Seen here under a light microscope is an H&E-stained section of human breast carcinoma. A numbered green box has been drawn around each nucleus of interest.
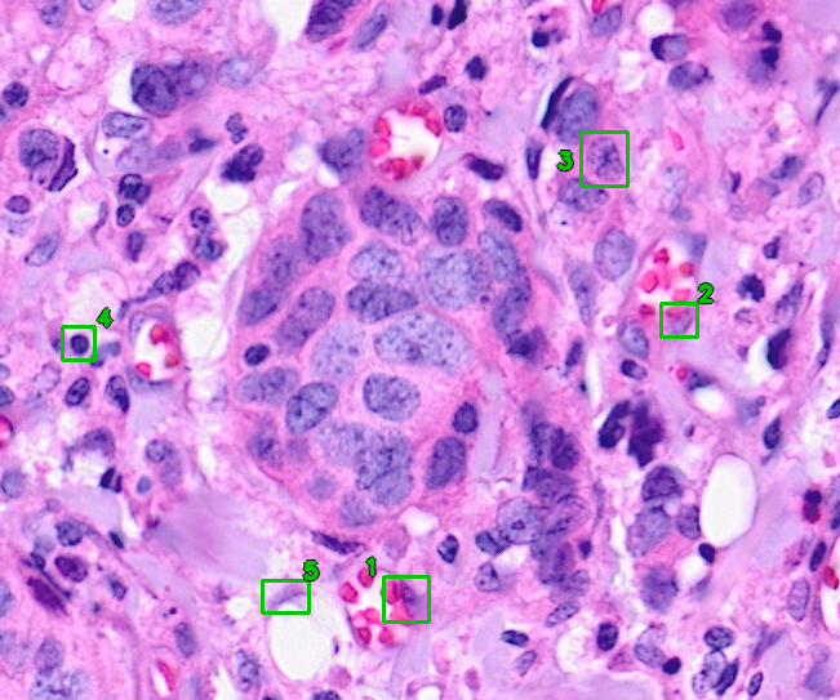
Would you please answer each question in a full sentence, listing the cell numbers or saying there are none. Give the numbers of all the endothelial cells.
In this section, the cells numbered 1 and 2 are endothelial cells.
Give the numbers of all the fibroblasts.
Only the cell carrying number 5 is a fibroblast.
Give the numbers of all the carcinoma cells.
It is only cell 3 that is a carcinoma cell among the numbered cells.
